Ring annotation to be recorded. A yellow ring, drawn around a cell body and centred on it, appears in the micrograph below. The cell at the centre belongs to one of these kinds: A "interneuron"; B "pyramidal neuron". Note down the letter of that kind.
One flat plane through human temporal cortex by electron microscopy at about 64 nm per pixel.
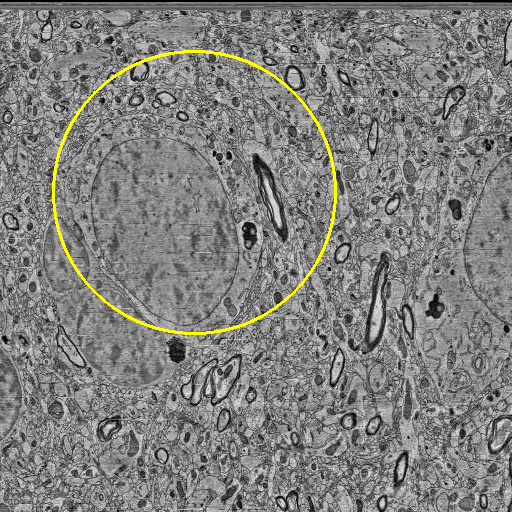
B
